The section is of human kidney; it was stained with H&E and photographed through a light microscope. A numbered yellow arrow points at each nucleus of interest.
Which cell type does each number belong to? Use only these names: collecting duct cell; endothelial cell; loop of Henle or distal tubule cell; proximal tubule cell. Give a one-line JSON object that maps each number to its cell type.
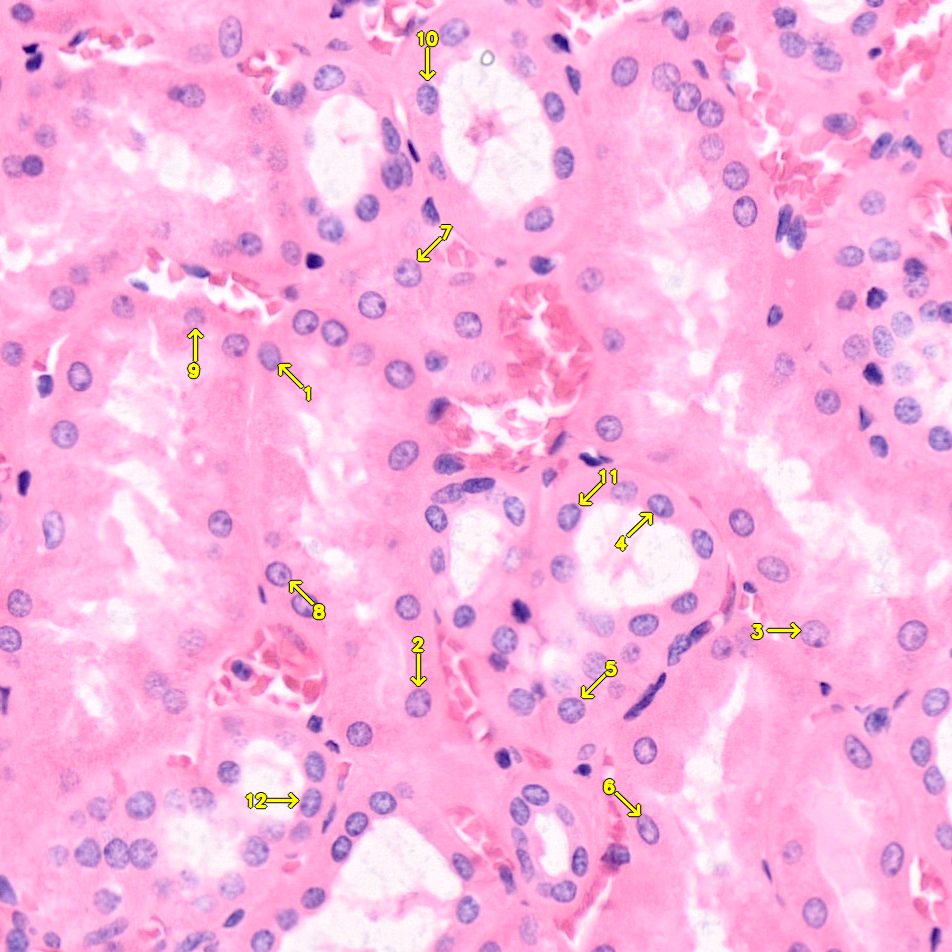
{"1": "proximal tubule cell", "2": "proximal tubule cell", "3": "proximal tubule cell", "4": "loop of Henle or distal tubule cell", "5": "loop of Henle or distal tubule cell", "6": "proximal tubule cell", "7": "proximal tubule cell", "8": "proximal tubule cell", "9": "proximal tubule cell", "10": "loop of Henle or distal tubule cell", "11": "loop of Henle or distal tubule cell", "12": "loop of Henle or distal tubule cell"}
